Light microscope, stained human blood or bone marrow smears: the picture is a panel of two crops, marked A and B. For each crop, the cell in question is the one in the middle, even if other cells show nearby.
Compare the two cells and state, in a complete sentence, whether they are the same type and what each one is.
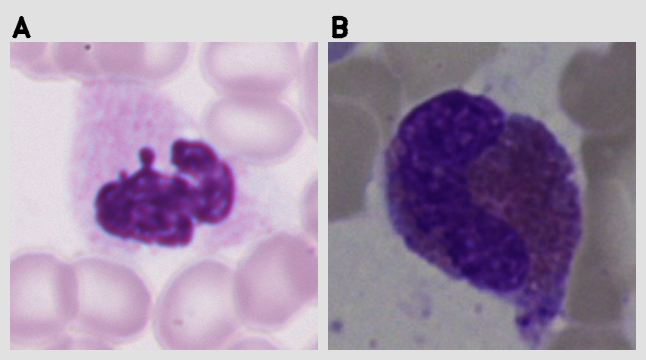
No, enter a neutrophil for crop A and an eosinophil for crop B.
